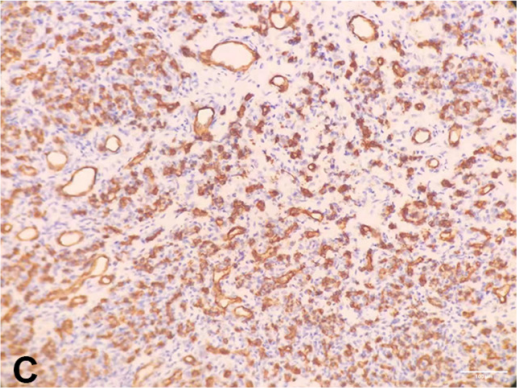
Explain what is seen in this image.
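Brown stain outlines numerous small round and slit-like lumens, together with many densely packed small brown-staining cells spread through the tissue. Between these, a paler, loose stroma has blue-counterstained nuclei. The staining traces the lining of a dense network of small blood vessels, which is in keeping with a tumor made of vessels.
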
